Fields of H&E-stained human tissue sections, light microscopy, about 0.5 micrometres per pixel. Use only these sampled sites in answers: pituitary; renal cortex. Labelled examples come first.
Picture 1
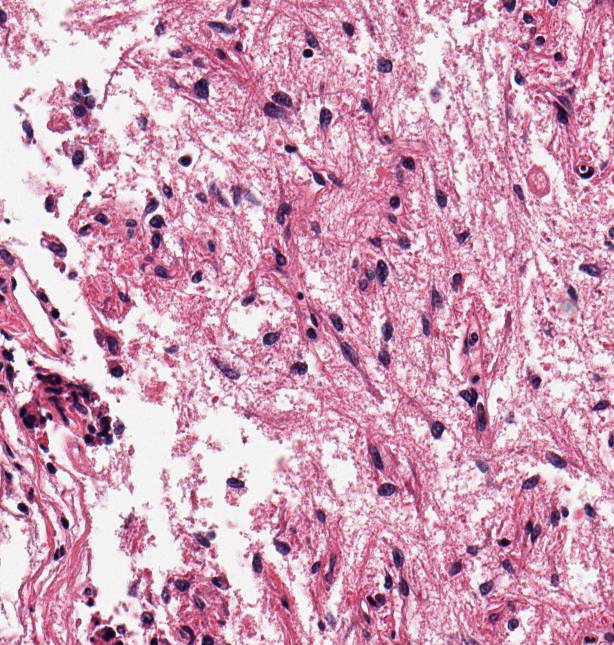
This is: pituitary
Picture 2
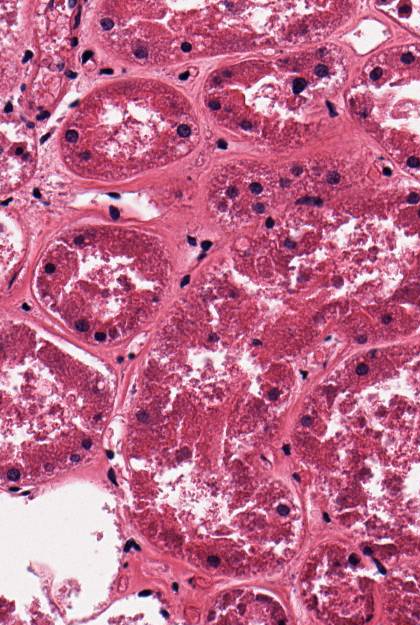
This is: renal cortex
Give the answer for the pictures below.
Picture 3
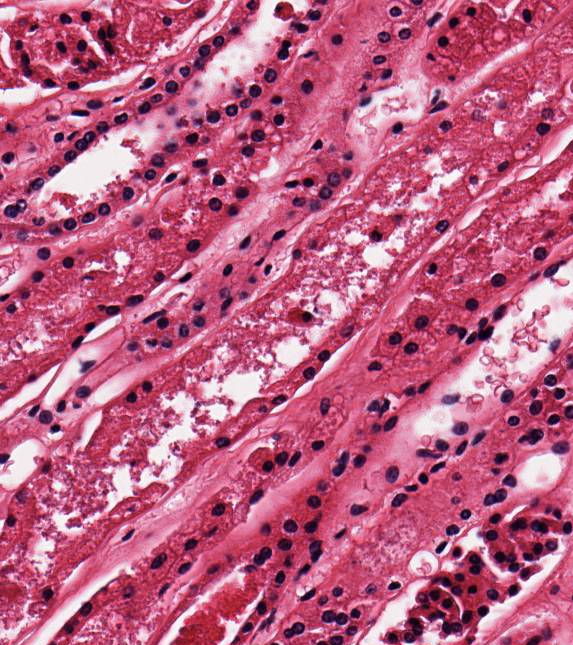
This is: renal cortex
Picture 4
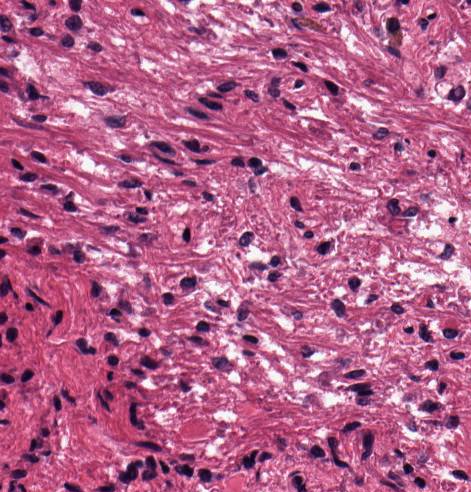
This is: pituitary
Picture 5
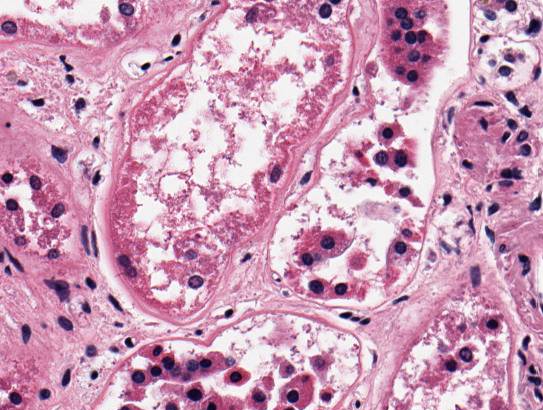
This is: renal cortex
